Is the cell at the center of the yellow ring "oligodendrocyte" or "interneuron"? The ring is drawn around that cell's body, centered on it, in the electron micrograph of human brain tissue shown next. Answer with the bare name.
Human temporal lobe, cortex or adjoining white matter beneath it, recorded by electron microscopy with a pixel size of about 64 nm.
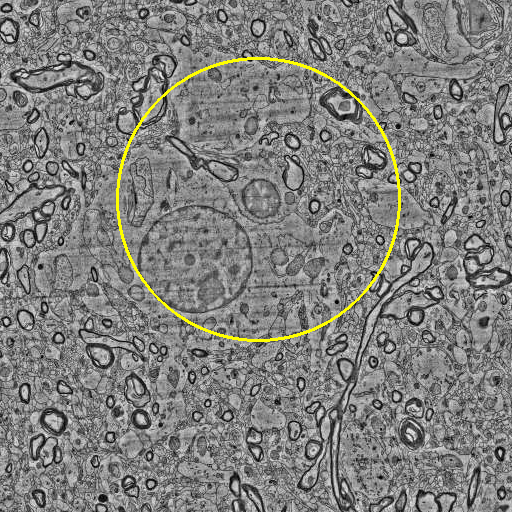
oligodendrocyte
